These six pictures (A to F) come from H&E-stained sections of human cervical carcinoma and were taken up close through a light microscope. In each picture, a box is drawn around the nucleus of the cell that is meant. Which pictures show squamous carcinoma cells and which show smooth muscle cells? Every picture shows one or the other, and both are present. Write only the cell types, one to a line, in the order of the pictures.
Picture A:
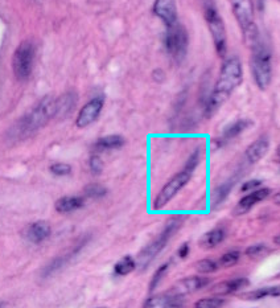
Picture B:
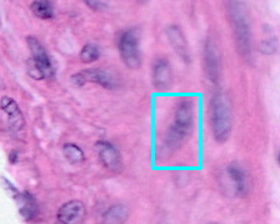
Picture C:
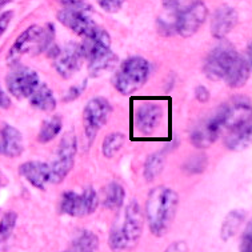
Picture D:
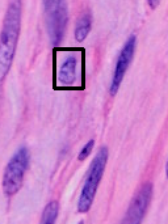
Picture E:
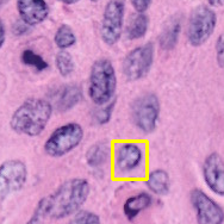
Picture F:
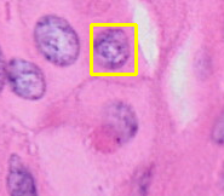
smooth muscle cell
smooth muscle cell
squamous carcinoma cell
smooth muscle cell
squamous carcinoma cell
squamous carcinoma cell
